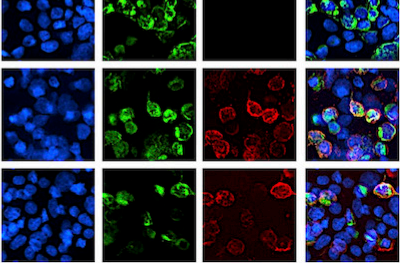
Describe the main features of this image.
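Cultured cells shown in three rows of four fluorescence tiles: blue channel, green channel, red channel and a merge. In the blue tiles, round to oval nuclei lie closely packed. In the green tiles, a subset of the cells shows green that outlines the cell edges and also appears as granules within the cells. In the top row the red tile is dark. In the middle and bottom rows the red forms rings around individual cells. In the merged tiles of these two rows, the red rings lie along the green-outlined cell edges and surround blue nuclei.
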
